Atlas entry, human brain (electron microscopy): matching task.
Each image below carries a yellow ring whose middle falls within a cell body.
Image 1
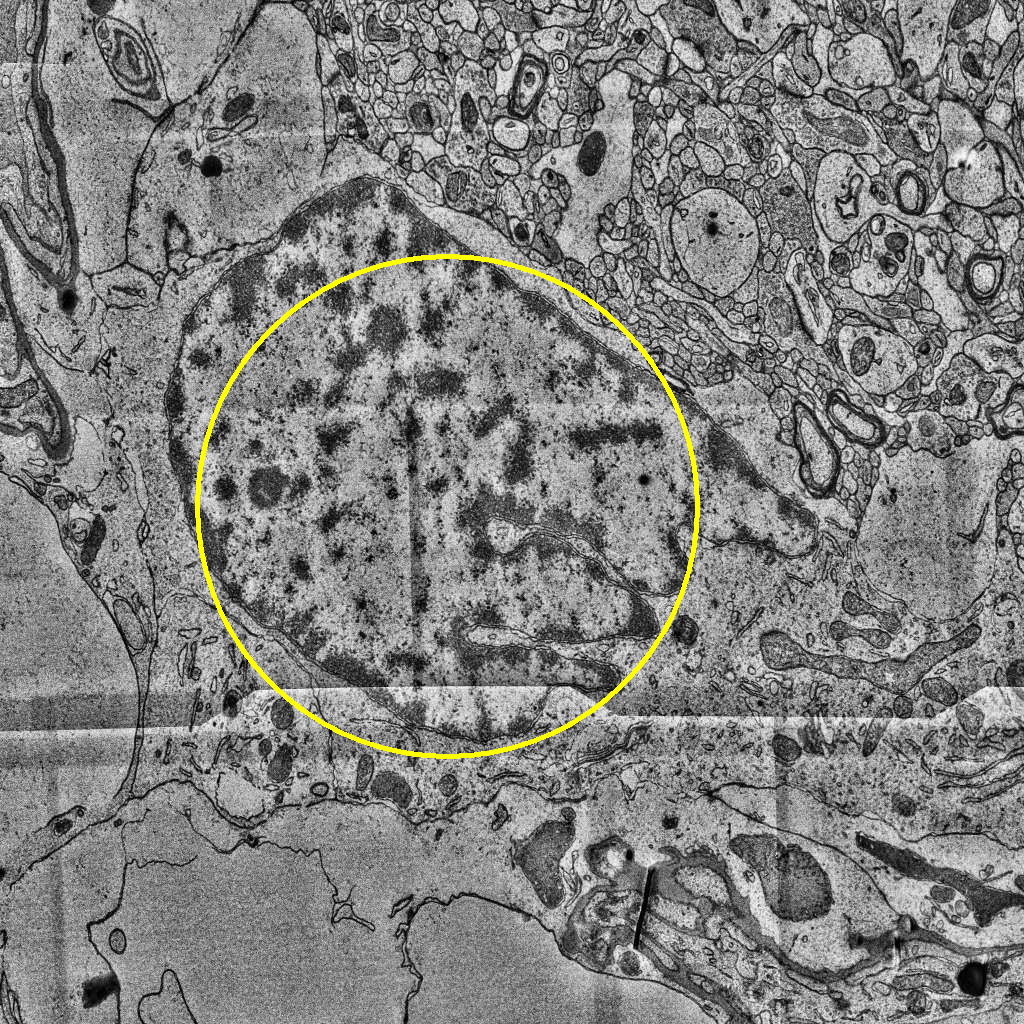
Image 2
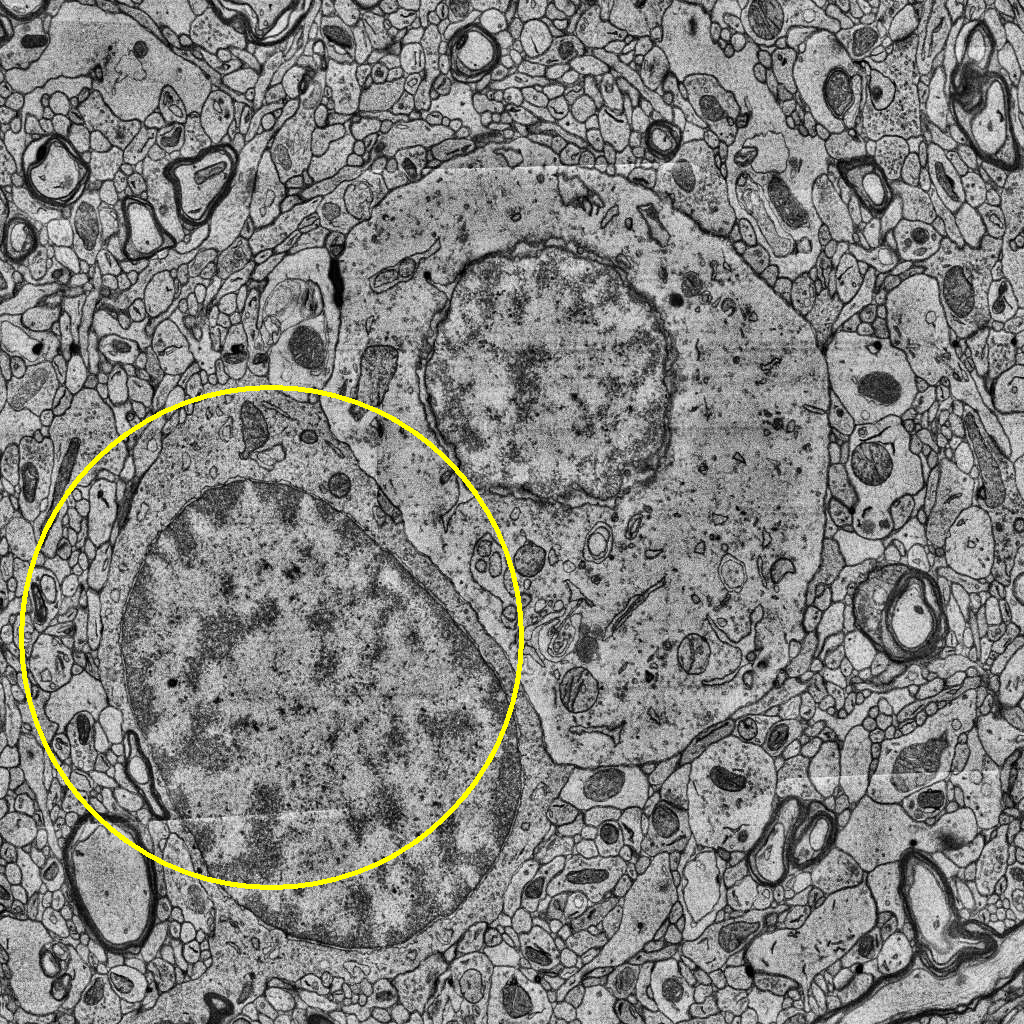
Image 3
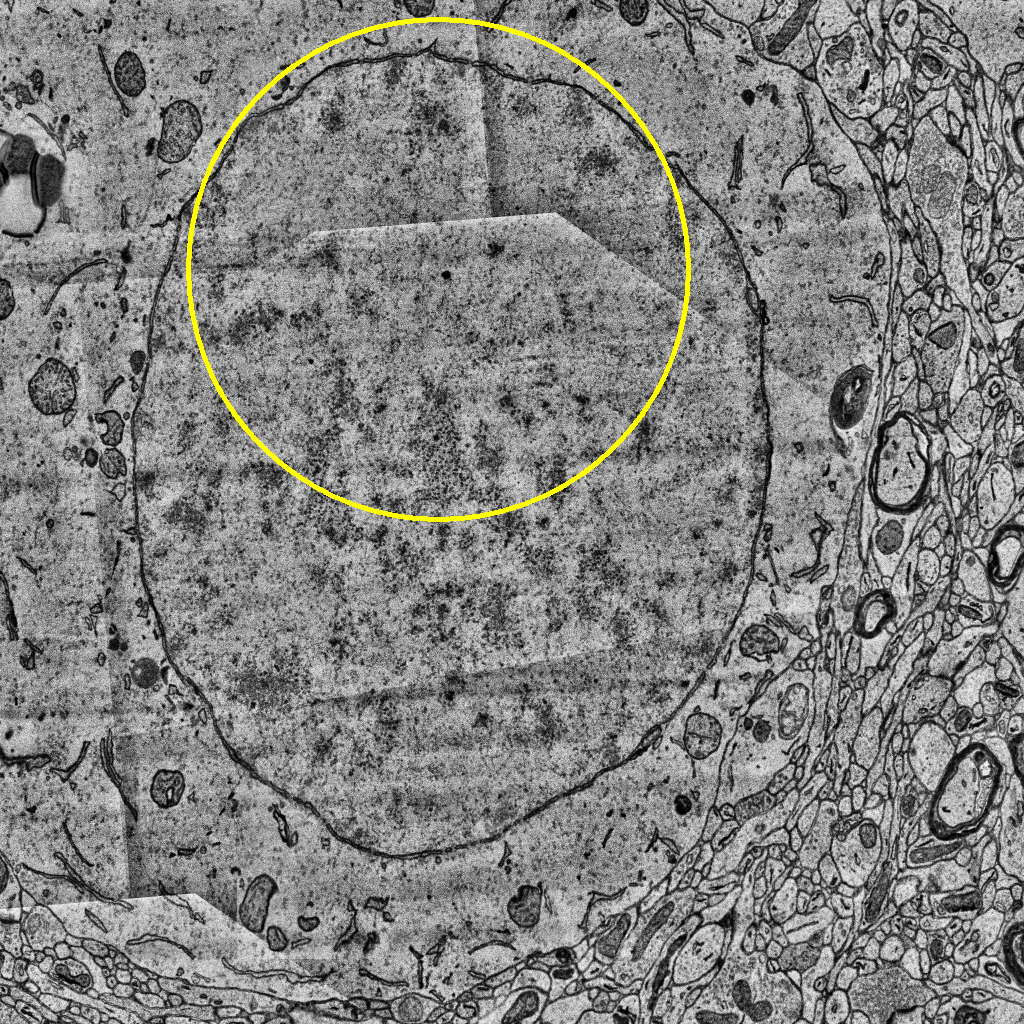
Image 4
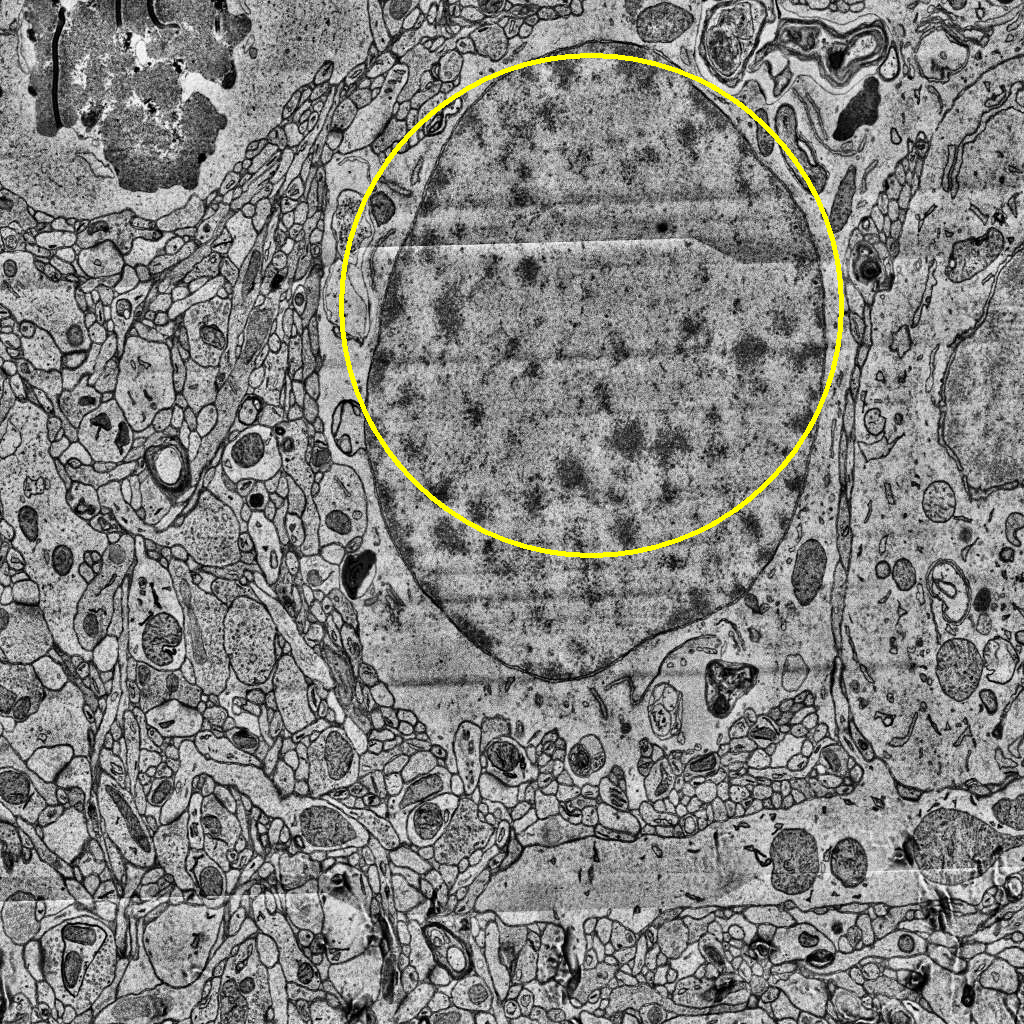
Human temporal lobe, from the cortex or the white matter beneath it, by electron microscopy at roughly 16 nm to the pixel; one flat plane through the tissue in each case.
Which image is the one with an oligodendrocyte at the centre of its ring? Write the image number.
2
